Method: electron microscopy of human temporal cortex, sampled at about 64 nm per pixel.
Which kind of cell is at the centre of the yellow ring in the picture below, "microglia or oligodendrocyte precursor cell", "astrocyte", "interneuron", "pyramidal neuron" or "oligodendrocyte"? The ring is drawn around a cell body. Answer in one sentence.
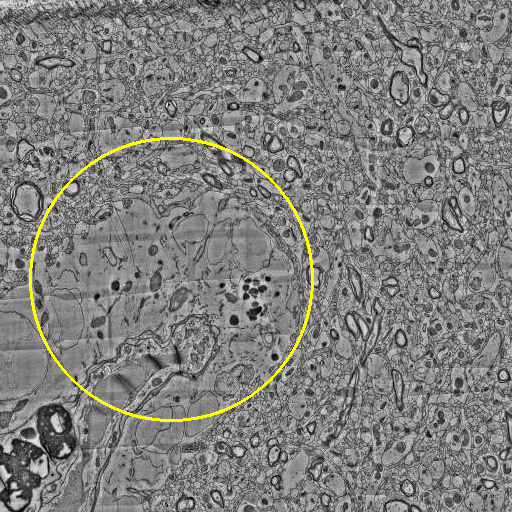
The ring's central cell is an astrocyte.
